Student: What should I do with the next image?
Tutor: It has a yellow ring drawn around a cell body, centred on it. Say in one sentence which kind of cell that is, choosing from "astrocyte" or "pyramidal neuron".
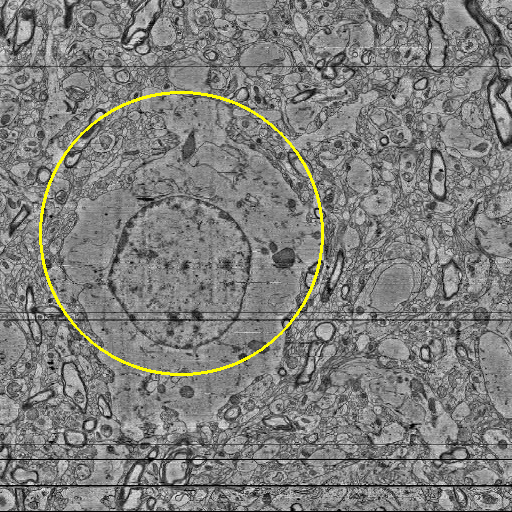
The ring's centre is occupied by an astrocyte.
